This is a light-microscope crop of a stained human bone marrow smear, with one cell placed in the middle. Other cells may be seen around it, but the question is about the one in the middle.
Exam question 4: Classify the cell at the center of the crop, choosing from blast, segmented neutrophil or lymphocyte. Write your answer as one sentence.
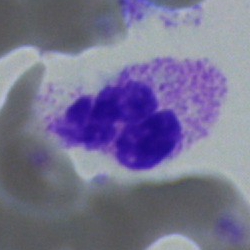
Within this crop, a segmented neutrophil occupies the central position.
